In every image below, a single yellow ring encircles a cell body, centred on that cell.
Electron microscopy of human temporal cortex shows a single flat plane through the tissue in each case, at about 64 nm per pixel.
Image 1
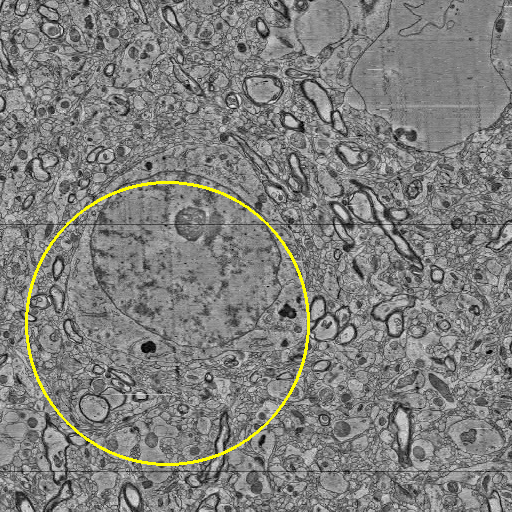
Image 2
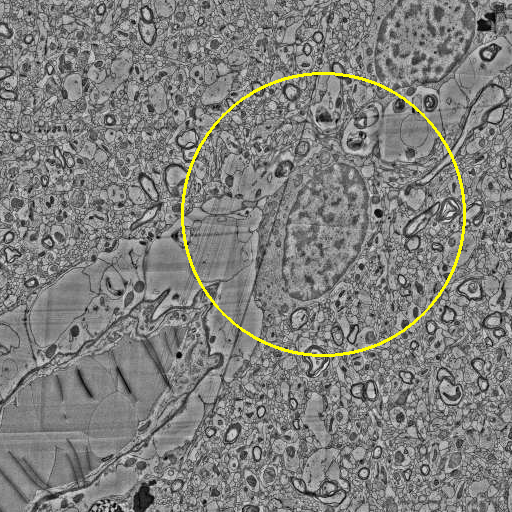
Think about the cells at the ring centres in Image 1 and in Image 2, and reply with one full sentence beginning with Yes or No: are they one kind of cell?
No, the cells centred in the rings of Image 1 and Image 2 are two kinds of cell.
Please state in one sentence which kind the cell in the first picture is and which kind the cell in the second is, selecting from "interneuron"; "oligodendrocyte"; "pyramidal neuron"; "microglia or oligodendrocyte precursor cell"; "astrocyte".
The first ringed cell is a pyramidal neuron, the second ringed cell an oligodendrocyte.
